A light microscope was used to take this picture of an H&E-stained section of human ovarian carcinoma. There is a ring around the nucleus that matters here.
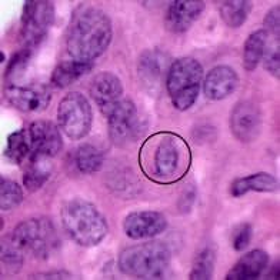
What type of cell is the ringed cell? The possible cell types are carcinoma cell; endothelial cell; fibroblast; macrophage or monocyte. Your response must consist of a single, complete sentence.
The cell type represented by the ringed cell is that of an endothelial cell.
